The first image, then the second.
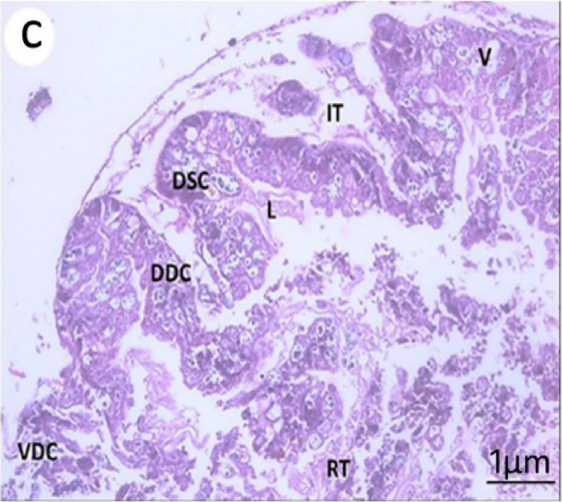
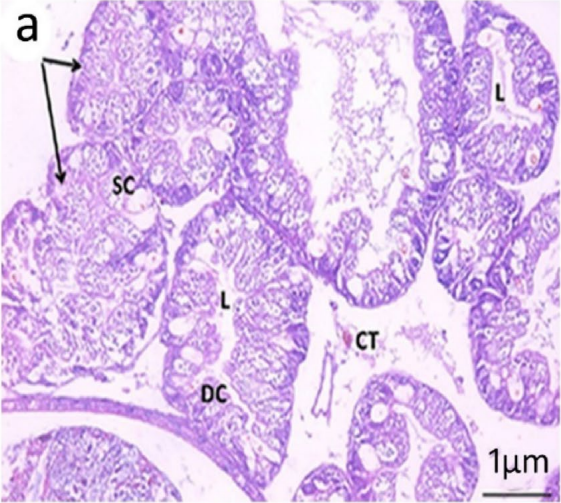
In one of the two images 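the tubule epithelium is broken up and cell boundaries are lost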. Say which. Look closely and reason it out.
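First image: tubule walls are fragmented and much debris lies in wide spaces. First image: the epithelium is dark and disorganised without clear cell borders. Second image: tubules are intact with a continuous epithelium around a narrow central space. So: the first image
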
